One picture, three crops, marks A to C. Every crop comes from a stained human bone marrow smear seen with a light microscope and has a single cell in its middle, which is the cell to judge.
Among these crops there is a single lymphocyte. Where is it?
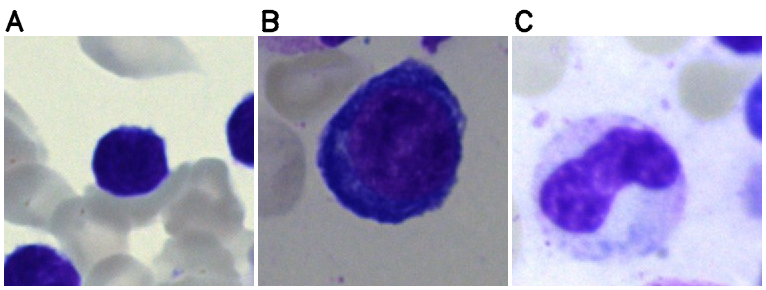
A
